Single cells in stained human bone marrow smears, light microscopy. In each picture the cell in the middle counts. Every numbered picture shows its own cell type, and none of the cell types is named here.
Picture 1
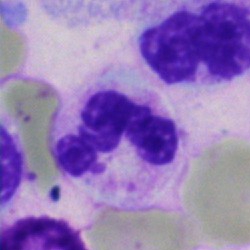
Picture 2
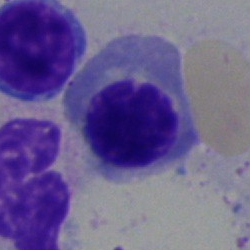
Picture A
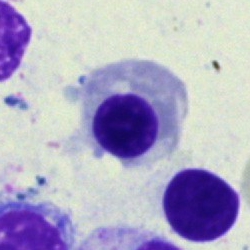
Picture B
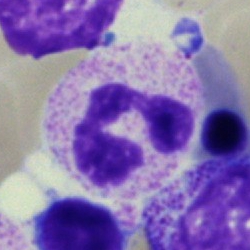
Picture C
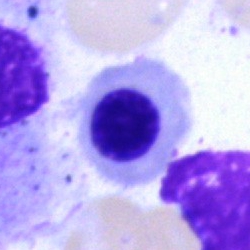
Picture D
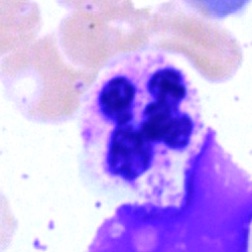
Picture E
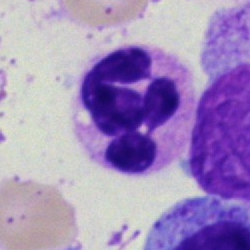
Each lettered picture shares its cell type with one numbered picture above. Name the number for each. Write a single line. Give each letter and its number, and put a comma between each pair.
A 2, B 1, C 2, D 1, E 1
